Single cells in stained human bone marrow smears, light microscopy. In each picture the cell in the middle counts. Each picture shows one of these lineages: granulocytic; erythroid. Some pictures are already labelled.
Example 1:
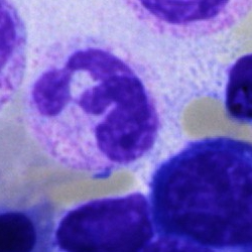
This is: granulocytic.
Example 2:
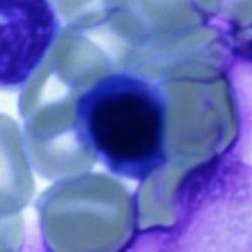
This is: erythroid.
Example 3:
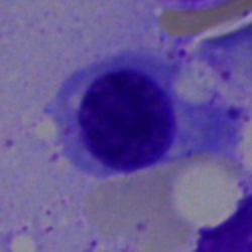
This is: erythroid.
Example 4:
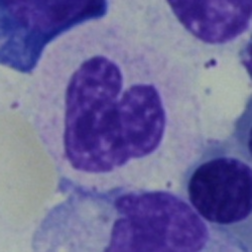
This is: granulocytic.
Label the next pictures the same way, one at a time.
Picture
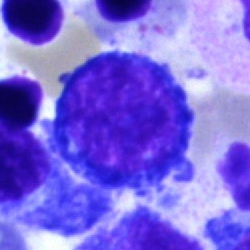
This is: erythroid.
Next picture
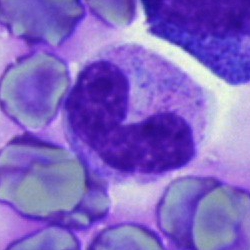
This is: granulocytic.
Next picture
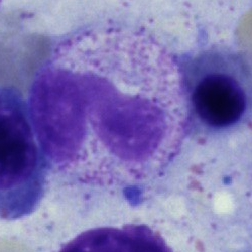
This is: granulocytic.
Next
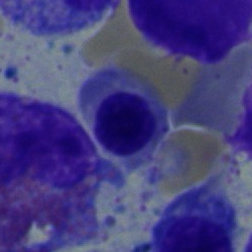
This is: erythroid.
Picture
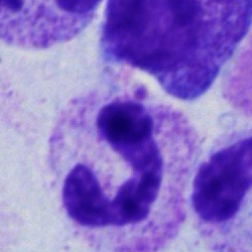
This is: granulocytic.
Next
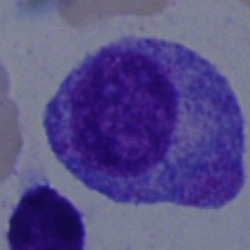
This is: granulocytic.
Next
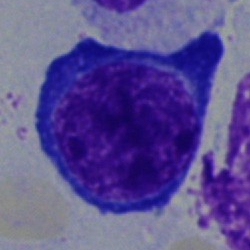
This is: erythroid.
